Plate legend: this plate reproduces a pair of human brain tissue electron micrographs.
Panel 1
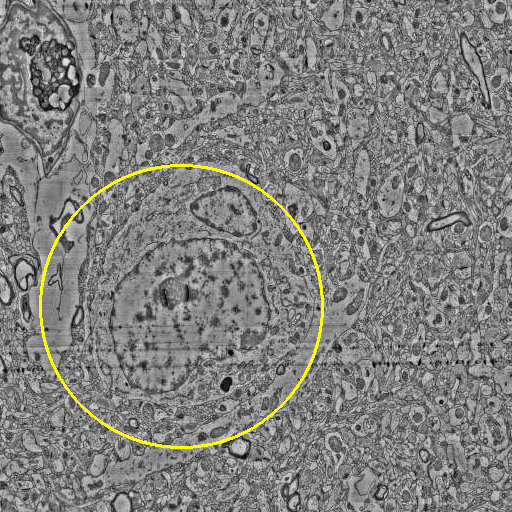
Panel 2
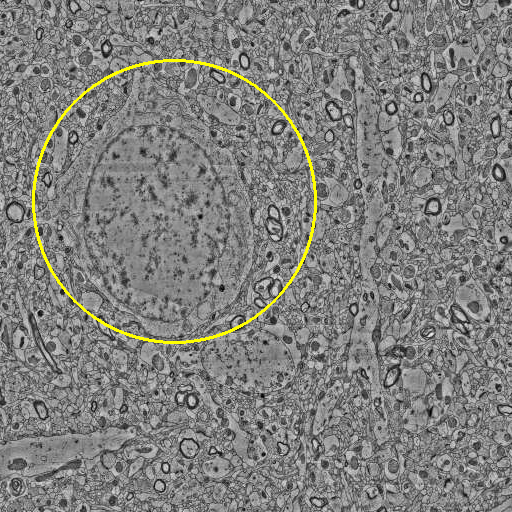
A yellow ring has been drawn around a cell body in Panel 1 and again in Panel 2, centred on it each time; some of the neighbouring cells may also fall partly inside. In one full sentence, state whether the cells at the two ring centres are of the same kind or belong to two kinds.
The ring-centred cells of Panel 1 and Panel 2 are of the same kind.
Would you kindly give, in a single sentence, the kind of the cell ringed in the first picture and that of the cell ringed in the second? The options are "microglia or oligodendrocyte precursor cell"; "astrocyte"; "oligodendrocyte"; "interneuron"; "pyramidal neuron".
Each one of the two ringed cells is an interneuron.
